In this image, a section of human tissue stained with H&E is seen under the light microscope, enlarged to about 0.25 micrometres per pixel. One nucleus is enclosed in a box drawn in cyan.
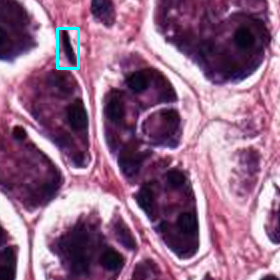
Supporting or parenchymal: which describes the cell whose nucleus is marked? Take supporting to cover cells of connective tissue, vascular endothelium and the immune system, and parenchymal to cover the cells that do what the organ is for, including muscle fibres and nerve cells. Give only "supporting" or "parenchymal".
supporting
